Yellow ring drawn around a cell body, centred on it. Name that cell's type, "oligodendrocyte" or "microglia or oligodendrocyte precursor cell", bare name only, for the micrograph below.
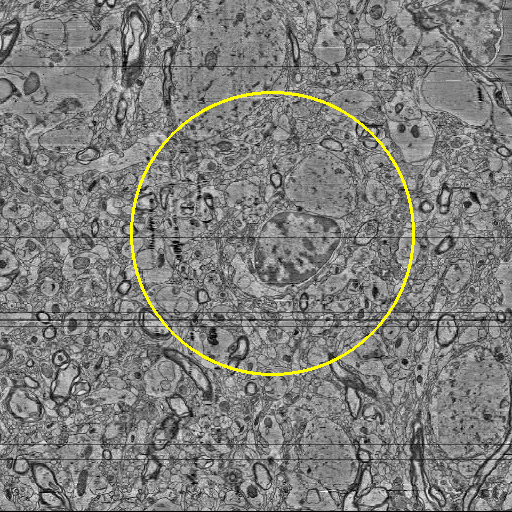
microglia or oligodendrocyte precursor cell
